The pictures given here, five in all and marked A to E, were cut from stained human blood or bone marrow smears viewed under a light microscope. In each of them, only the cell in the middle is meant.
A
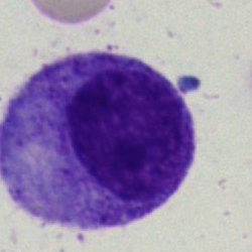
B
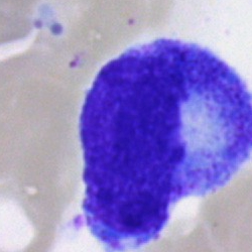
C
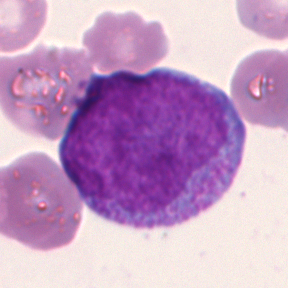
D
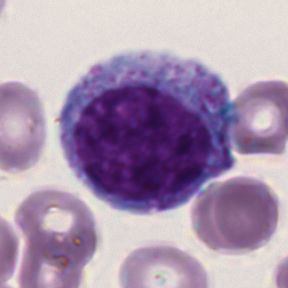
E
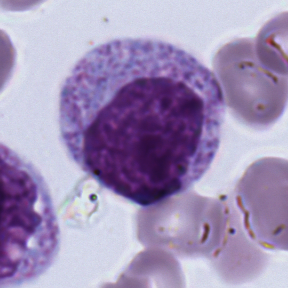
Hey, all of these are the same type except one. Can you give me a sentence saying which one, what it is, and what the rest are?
Crop E is the one to flag: it is a myelocyte, and the rest show promyelocytes.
